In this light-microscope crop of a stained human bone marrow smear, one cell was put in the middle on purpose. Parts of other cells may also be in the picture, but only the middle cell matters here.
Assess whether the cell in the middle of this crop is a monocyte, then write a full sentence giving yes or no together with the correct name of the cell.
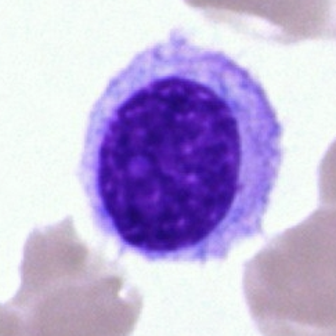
No, the cell in the middle is correctly named a hairy cell, not a monocyte.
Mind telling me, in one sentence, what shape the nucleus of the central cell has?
Its nucleus is compact and single, with a round, oval or kidney-shaped form.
